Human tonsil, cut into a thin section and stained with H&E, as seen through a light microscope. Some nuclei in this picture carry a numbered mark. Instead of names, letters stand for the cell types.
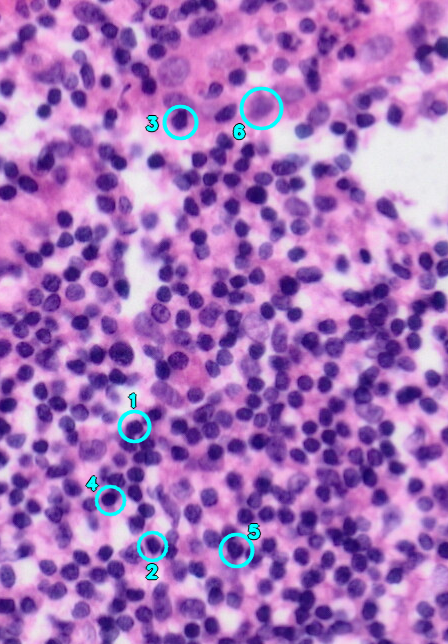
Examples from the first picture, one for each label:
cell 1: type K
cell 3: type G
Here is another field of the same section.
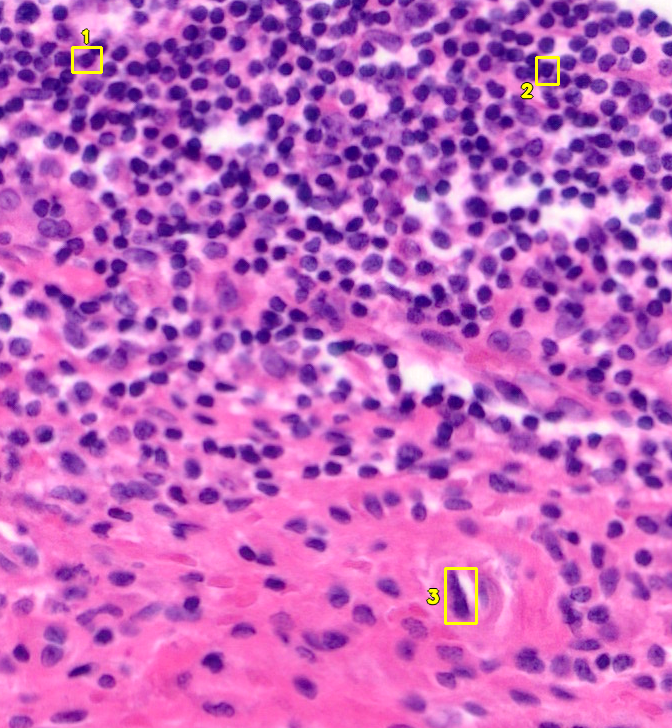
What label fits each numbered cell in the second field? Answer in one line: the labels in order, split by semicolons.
type K; type K; type G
